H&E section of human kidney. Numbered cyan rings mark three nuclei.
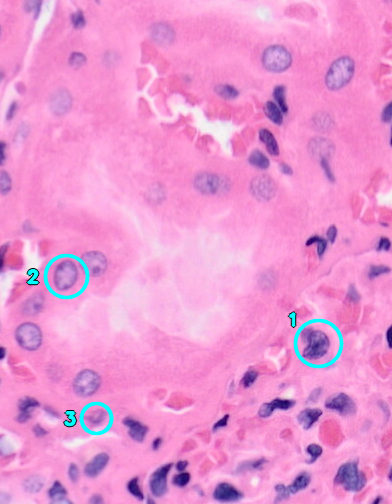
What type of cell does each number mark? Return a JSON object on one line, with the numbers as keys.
{"1": "endothelial cell", "2": "proximal tubule cell", "3": "collecting duct cell"}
